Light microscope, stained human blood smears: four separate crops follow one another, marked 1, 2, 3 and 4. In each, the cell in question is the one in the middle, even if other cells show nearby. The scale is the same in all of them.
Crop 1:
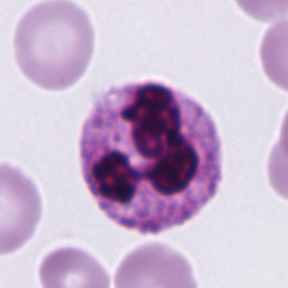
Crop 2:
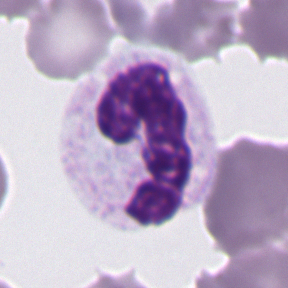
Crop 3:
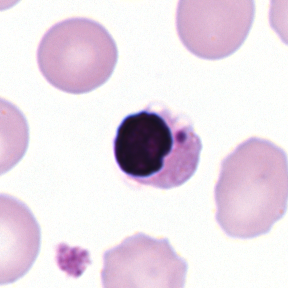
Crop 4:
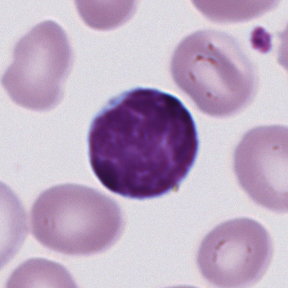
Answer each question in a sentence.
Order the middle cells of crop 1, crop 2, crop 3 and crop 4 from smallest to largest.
The order is 3, 4, 1, 2, beginning with the smallest.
